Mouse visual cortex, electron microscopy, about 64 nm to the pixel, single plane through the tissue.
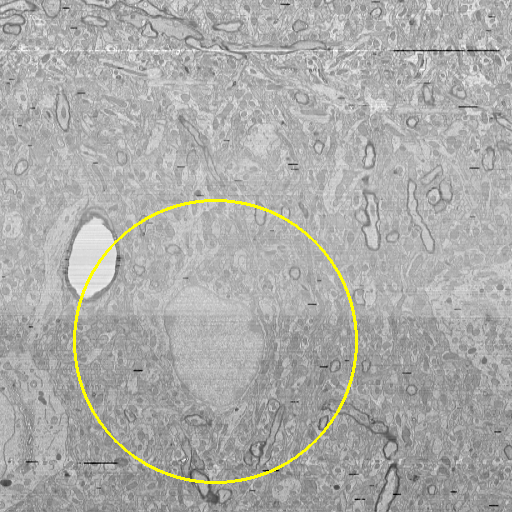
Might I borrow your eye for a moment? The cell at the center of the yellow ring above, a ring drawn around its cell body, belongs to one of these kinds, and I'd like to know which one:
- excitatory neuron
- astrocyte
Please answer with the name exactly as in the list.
astrocyte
